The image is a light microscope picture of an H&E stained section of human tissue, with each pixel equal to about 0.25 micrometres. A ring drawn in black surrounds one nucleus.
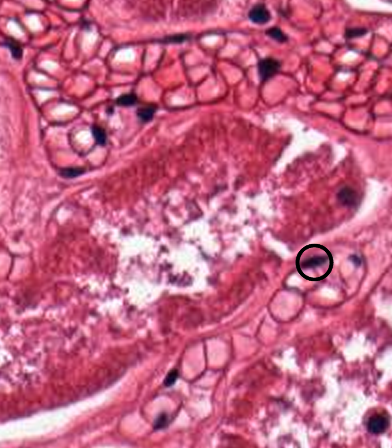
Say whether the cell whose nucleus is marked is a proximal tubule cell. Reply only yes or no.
no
